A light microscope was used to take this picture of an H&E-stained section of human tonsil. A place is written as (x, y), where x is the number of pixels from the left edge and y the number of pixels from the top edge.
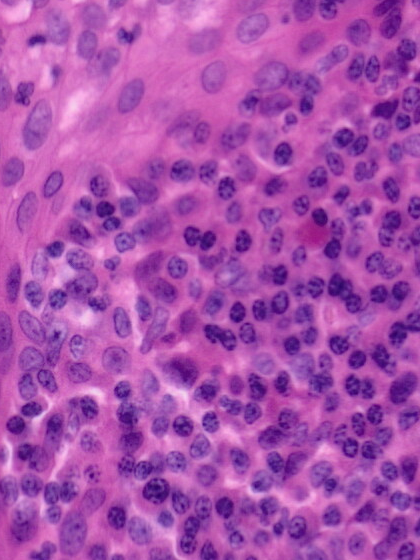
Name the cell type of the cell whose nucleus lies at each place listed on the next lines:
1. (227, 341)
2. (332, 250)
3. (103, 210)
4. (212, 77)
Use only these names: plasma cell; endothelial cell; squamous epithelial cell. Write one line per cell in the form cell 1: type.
cell 1: plasma cell
cell 2: plasma cell
cell 3: plasma cell
cell 4: squamous epithelial cell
